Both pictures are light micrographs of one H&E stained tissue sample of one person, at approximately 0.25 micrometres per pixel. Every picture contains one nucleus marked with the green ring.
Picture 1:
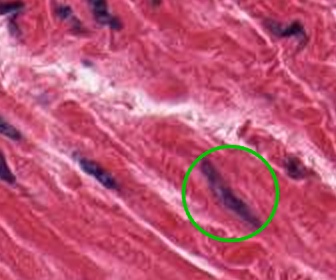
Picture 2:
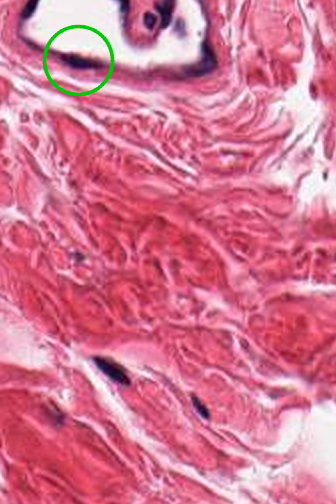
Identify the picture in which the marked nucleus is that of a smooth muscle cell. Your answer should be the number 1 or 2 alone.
1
